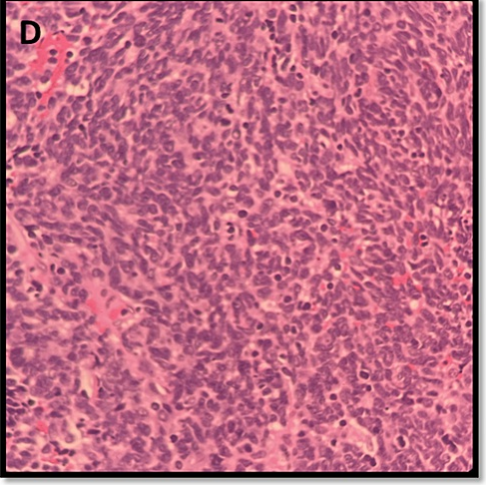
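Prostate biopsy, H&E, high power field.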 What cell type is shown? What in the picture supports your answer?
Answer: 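Small round blue cells. Densely packed cells with dark blue-purple nuclei. Very little cytoplasm around each nucleus. Nuclei are small and round to oval.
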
